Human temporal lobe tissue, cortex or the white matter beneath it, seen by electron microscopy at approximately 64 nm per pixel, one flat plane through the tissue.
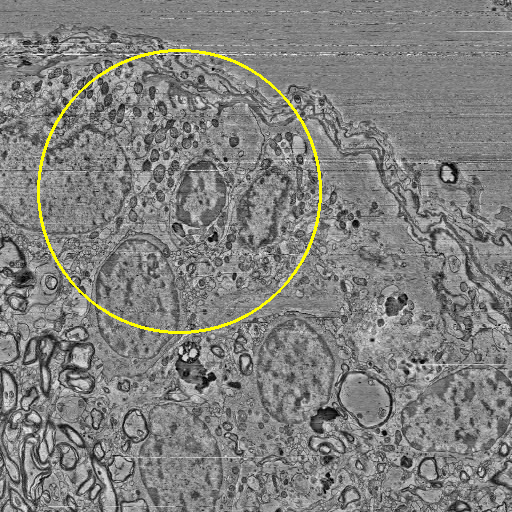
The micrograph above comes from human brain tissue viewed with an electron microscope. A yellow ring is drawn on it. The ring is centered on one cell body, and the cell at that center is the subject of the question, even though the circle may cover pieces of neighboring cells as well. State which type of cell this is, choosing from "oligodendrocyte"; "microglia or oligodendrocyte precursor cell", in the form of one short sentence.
The cell the ring is centered on is a microglial cell or oligodendrocyte precursor cell.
